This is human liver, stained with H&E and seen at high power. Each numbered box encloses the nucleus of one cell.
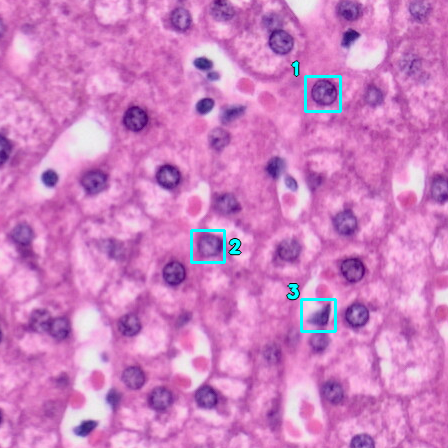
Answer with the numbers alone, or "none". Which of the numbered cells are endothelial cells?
3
